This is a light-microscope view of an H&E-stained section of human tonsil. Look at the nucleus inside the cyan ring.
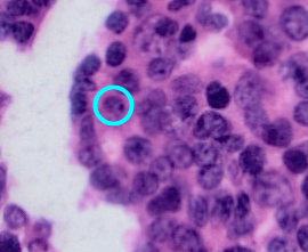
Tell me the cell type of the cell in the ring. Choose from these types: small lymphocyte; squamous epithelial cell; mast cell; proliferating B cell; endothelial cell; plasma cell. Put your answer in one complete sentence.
The cell in the ring appears to be a proliferating B cell.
